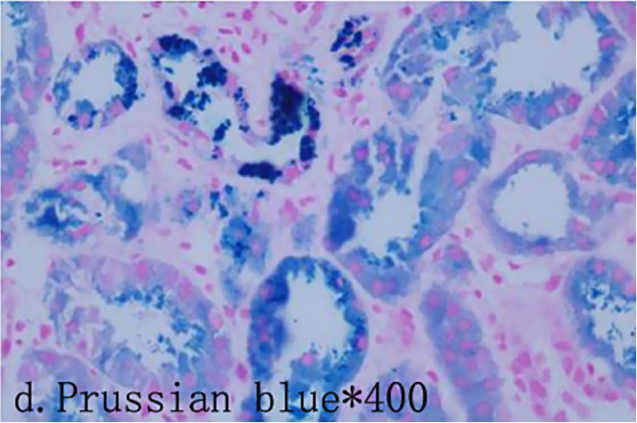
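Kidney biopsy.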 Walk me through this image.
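Renal tubules cut in cross section are lined by a single layer of cuboidal epithelial cells with pink nuclei. Several tubules carry coarse dark blue granular deposits in the cytoplasm of their lining cells, heaviest in a few neighbouring tubules, while the others show only pale blue cytoplasm. Small interstitial nuclei lie between the tubules.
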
